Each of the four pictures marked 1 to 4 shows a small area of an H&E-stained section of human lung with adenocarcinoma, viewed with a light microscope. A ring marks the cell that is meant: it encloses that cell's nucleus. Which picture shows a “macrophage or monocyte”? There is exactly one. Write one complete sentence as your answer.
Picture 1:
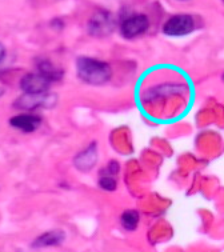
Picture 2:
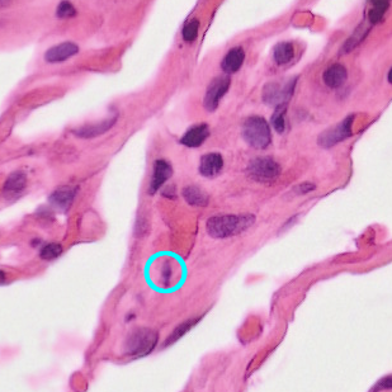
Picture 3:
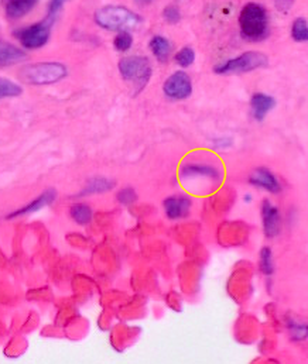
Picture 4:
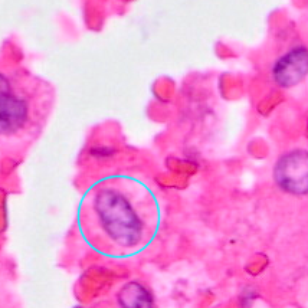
Picture 4 shows the “macrophage or monocyte”.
